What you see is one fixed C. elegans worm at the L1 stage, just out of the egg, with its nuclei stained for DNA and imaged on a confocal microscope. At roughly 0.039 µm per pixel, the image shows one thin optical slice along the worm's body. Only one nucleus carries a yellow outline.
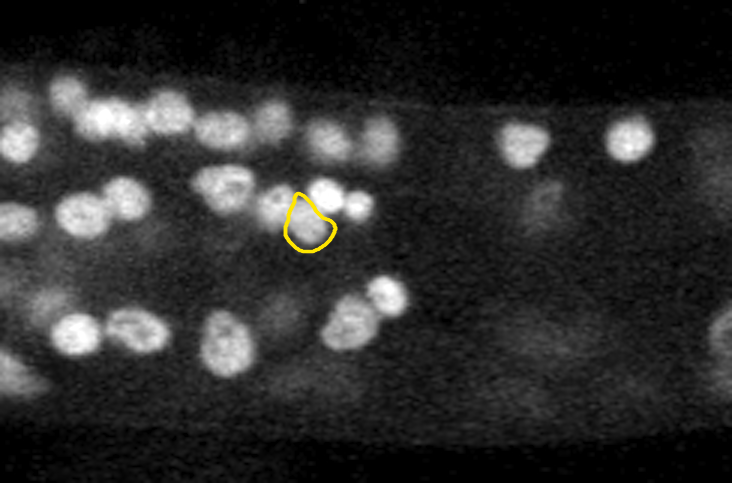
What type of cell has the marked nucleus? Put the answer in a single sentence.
The marked nucleus is that of a pharyngeal muscle cell.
